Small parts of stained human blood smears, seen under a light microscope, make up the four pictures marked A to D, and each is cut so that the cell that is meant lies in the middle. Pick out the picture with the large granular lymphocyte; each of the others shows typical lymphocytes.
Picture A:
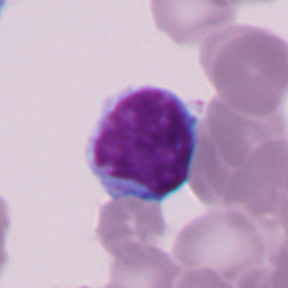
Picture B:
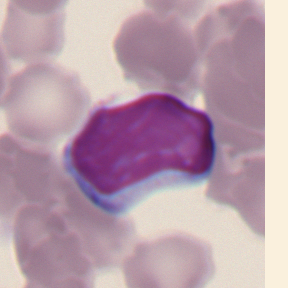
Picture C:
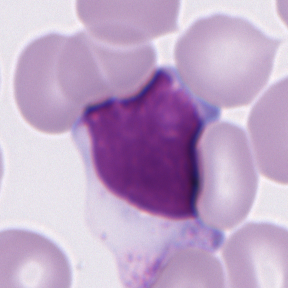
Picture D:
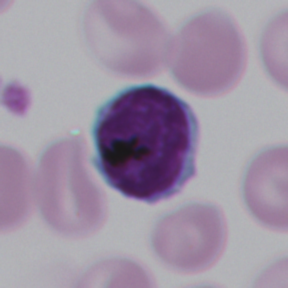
C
